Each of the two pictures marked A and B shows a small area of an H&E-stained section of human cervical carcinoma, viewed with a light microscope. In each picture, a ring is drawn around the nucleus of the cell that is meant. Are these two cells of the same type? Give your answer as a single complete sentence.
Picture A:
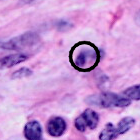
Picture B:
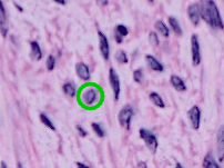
No, the types are not the same, since picture A shows a lymphocyte and picture B a smooth muscle cell.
